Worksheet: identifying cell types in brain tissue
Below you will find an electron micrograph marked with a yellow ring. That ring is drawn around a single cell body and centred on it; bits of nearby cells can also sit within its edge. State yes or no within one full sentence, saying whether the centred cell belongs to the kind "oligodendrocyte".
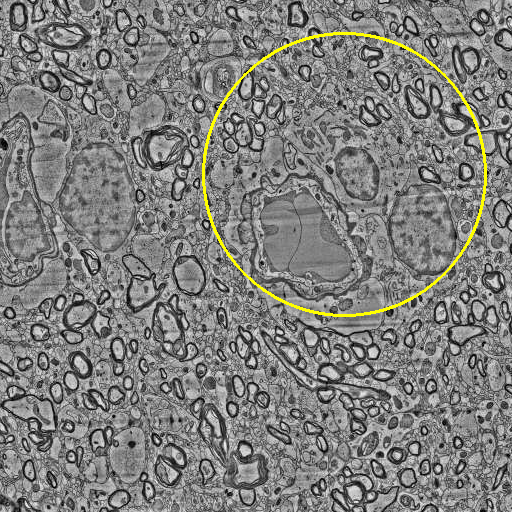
No, the cell sitting at the centre of the yellow ring in this picture is of another kind.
